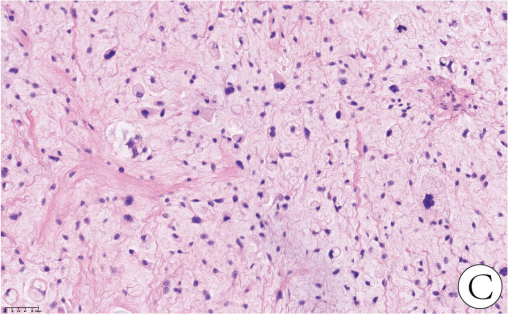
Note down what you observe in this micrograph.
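Pleomorphic tumor cells lie scattered in a pale, loose, fibrillary pink stroma. Their nuclei vary greatly in size and shape, from small oval or spindle forms to large, dark, irregular and hyperchromatic nuclei. Some cells show clear, bubbly cytoplasmic vacuoles next to their nuclei, in keeping with lipoblasts. Strands of denser pink collagen and small vessels cross the field. The cells are widely spaced without an organized pattern.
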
